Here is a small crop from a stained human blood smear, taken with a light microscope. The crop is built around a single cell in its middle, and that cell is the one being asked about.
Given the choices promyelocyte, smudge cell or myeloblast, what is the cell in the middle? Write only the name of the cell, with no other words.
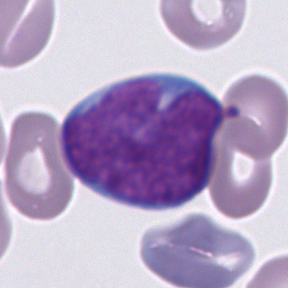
myeloblast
